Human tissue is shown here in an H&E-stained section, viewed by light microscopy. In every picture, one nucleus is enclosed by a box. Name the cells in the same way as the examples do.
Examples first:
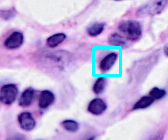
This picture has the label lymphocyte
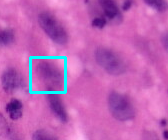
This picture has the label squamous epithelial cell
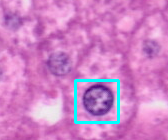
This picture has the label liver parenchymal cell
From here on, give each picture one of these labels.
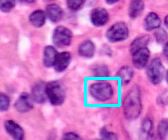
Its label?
lymphocyte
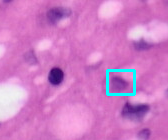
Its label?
squamous epithelial cell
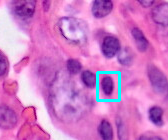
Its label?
lymphocyte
